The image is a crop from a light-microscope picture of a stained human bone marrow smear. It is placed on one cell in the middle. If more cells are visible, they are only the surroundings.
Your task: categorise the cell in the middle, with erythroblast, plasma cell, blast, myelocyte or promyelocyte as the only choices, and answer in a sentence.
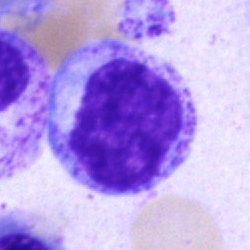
This crop's central cell is a myelocyte.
